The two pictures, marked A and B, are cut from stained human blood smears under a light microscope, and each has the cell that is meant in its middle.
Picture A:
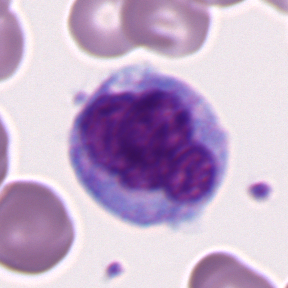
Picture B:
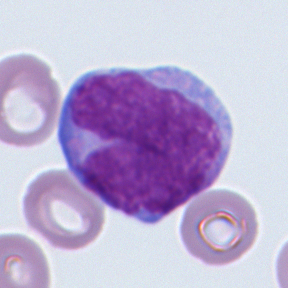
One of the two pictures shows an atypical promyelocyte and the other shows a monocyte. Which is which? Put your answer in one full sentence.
Picture A is of a monocyte, and picture B is of an atypical promyelocyte.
